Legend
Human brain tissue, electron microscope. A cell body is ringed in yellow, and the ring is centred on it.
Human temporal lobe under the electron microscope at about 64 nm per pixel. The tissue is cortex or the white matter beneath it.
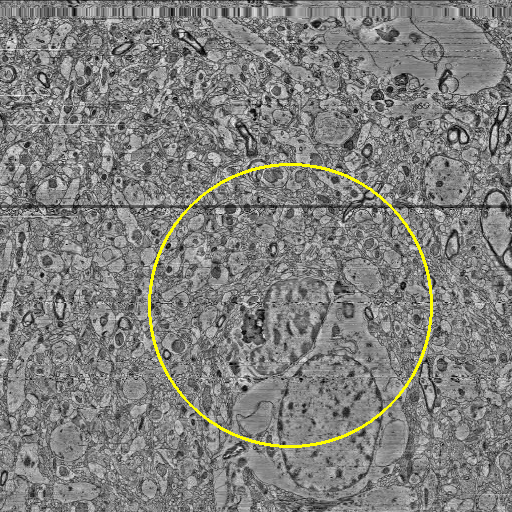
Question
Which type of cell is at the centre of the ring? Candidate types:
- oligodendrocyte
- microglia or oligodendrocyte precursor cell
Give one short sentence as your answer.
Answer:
The yellow ring is centred here on a microglial cell or oligodendrocyte precursor cell.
